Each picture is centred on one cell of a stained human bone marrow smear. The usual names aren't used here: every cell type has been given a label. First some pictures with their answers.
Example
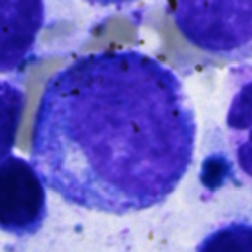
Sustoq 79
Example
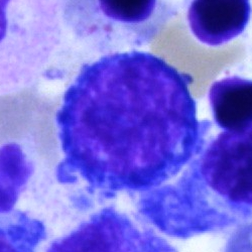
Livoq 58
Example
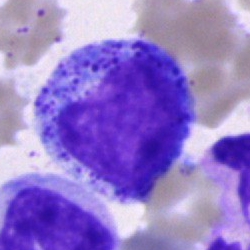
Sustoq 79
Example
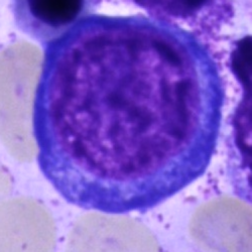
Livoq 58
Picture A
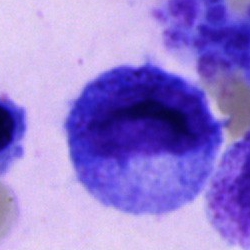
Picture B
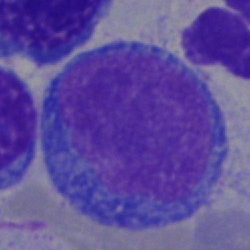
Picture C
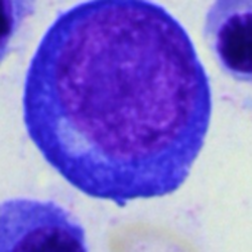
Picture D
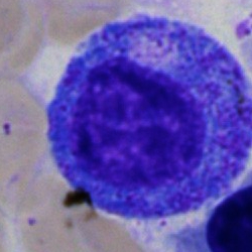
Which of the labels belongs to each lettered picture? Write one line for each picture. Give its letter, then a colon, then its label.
A: Sustoq 79
B: Livoq 58
C: Livoq 58
D: Sustoq 79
